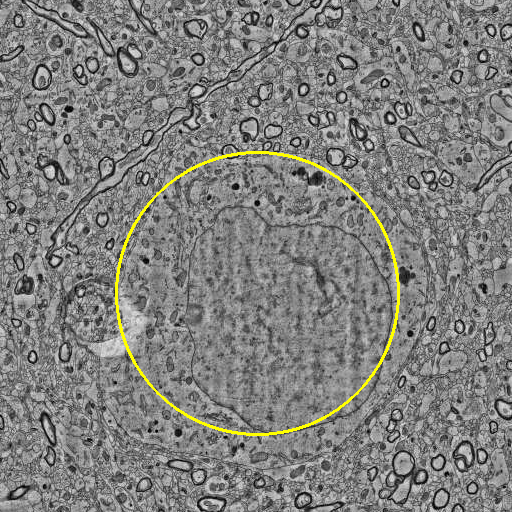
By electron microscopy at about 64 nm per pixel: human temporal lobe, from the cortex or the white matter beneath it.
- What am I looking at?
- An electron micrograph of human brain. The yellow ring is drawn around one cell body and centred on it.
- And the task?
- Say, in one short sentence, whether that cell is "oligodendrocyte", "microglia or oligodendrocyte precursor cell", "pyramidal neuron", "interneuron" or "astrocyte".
The cell in the middle of the ring is a pyramidal neuron.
